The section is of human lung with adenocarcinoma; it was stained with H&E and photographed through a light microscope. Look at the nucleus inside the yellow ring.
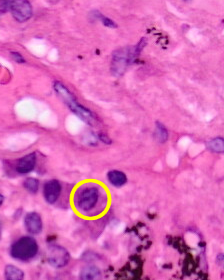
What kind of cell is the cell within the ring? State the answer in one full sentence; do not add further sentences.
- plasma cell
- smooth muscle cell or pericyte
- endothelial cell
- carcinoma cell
Typologically, the cell within the ring is a plasma cell in this section.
